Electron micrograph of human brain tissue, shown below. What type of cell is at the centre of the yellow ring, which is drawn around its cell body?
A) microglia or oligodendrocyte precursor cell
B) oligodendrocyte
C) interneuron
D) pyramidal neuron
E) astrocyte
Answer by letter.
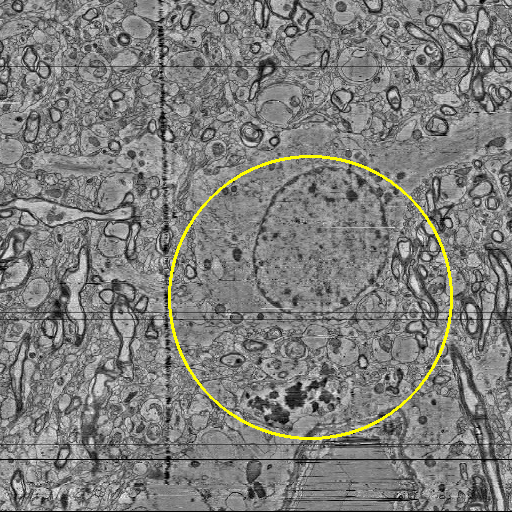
E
